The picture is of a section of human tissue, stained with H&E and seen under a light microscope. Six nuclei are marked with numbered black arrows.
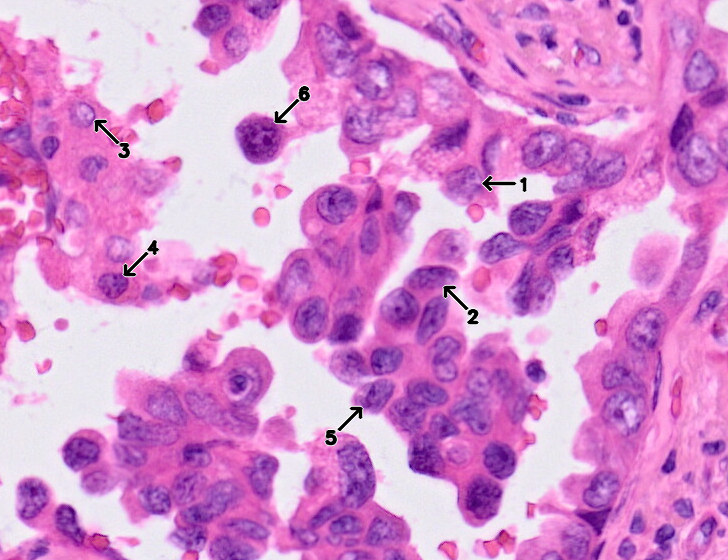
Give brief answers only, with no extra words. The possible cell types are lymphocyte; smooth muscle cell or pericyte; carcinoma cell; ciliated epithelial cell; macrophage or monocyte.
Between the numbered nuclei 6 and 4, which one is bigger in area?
6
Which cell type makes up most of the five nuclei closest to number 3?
macrophage or monocyte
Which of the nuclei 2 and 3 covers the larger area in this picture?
2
